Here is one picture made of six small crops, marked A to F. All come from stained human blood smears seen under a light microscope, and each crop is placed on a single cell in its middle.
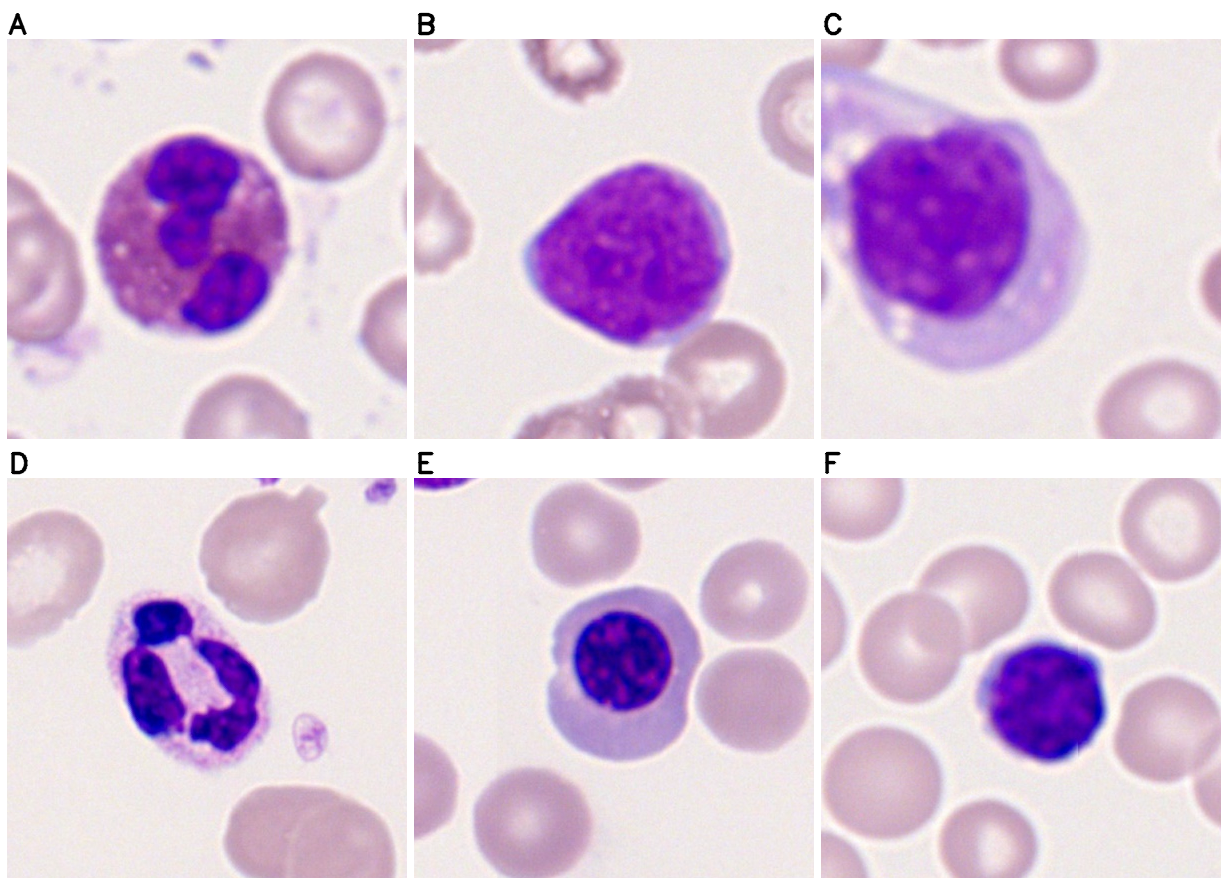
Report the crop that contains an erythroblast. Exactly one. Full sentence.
The one showing an erythroblast is the crop labelled E.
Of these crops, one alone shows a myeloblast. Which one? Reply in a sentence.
Crop B is the one to choose: it shows a myeloblast.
